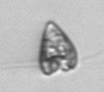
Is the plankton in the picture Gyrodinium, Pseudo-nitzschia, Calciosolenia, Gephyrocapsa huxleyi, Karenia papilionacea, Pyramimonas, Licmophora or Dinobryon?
It is Pyramimonas.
